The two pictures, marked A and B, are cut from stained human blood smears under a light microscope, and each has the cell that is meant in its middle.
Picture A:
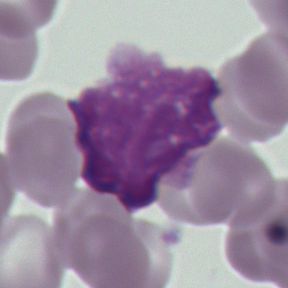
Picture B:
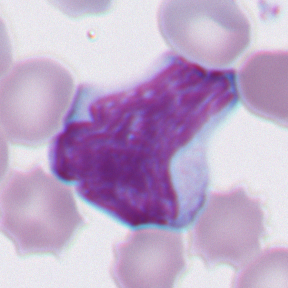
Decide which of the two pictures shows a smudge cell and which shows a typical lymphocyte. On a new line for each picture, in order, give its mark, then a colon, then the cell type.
A: smudge cell
B: typical lymphocyte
